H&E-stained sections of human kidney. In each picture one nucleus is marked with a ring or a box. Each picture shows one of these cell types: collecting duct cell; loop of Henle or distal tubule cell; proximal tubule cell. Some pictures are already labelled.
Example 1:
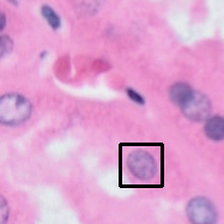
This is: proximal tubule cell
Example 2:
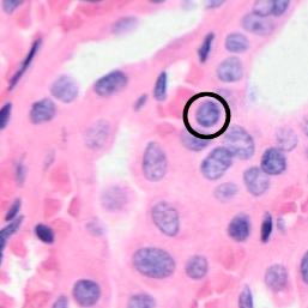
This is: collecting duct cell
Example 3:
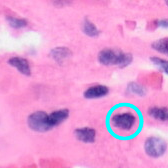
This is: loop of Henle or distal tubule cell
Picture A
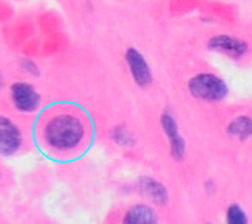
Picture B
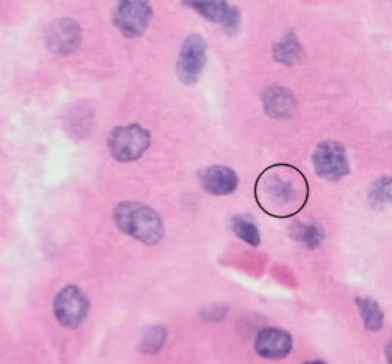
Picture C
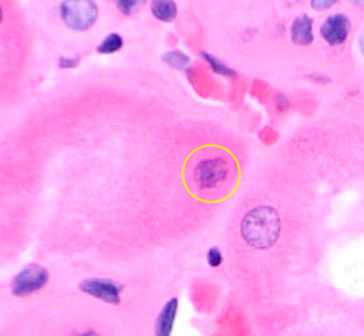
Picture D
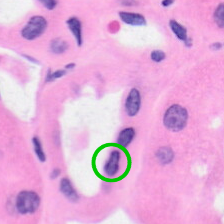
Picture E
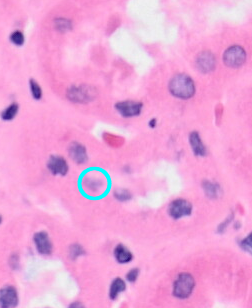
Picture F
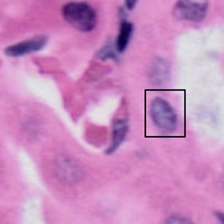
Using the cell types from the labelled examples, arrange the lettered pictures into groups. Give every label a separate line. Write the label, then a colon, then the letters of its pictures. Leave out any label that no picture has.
collecting duct cell: D
loop of Henle or distal tubule cell: A, B, E, F
proximal tubule cell: C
